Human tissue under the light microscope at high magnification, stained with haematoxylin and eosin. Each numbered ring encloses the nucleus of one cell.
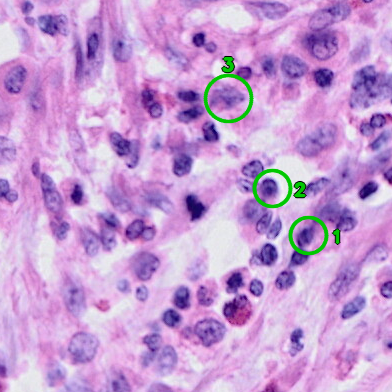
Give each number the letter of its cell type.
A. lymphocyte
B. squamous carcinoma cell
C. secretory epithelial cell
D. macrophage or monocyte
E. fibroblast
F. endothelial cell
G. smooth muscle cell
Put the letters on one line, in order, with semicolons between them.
A; A; D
